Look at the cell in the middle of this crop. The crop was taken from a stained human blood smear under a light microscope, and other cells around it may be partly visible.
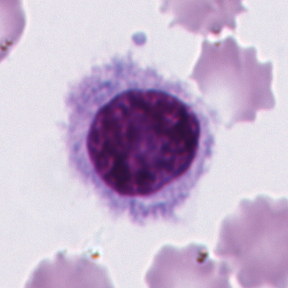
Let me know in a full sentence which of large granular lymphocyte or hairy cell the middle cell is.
The central cell in this smear crop is a hairy cell.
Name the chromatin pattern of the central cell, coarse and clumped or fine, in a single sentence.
The nuclear chromatin is fine, showing no coarse aggregates.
